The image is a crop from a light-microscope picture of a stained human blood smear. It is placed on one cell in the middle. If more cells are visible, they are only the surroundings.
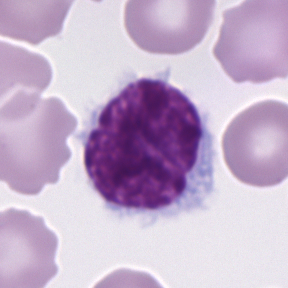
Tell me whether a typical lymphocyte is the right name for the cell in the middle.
no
